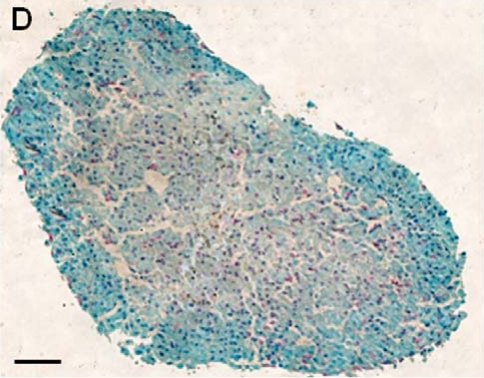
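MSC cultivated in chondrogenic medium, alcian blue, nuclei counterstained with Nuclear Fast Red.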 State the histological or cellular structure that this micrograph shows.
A: Micromass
